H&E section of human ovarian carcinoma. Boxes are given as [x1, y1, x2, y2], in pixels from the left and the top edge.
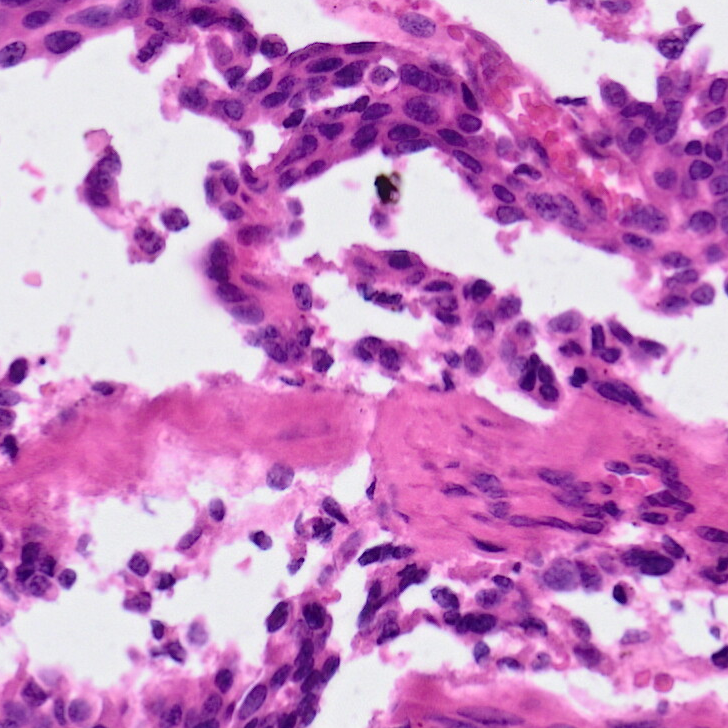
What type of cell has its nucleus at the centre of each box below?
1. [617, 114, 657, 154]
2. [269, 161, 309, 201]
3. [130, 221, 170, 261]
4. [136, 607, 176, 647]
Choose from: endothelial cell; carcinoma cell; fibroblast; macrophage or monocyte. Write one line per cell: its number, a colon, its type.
1: carcinoma cell
2: carcinoma cell
3: macrophage or monocyte
4: carcinoma cell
